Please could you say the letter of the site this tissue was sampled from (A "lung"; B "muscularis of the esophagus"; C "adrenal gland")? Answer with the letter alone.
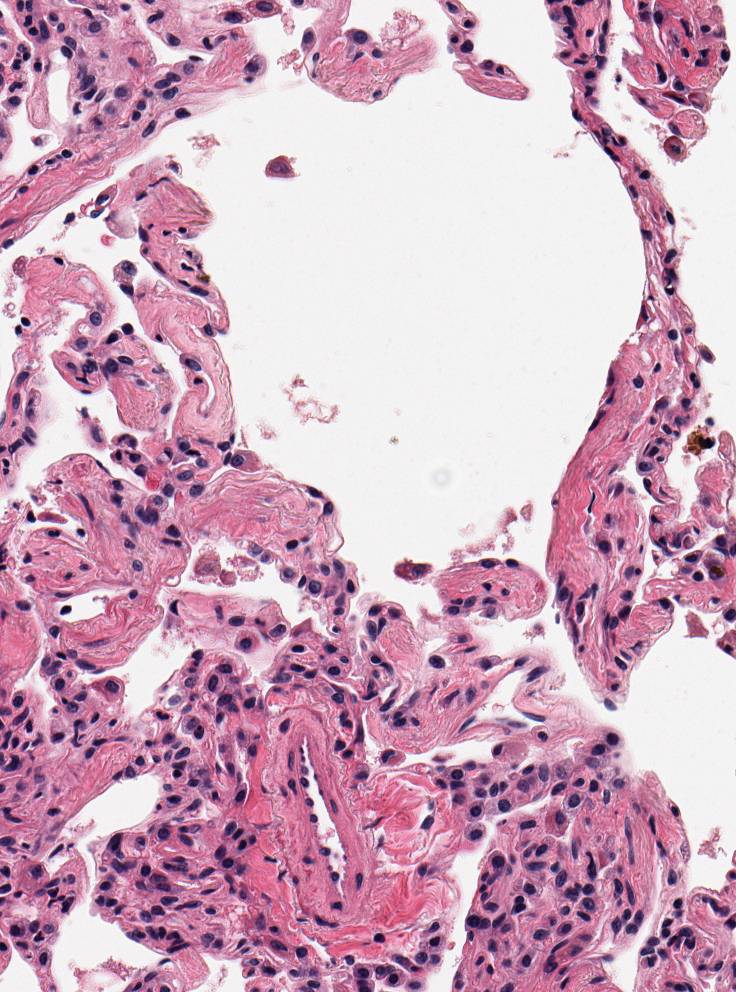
A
